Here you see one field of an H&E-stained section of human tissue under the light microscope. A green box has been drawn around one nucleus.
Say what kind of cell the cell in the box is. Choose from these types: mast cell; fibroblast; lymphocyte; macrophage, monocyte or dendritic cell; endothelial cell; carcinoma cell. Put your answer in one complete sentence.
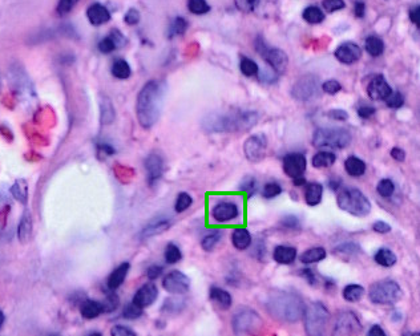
Within the stained tissue, the cell in the box is a lymphocyte.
